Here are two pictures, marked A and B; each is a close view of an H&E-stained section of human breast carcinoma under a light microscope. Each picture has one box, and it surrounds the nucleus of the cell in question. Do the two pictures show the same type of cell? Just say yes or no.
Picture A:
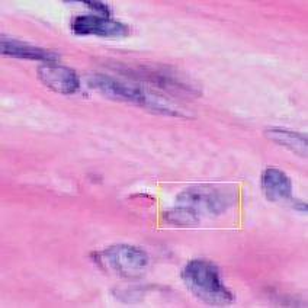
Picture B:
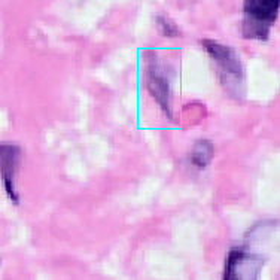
yes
